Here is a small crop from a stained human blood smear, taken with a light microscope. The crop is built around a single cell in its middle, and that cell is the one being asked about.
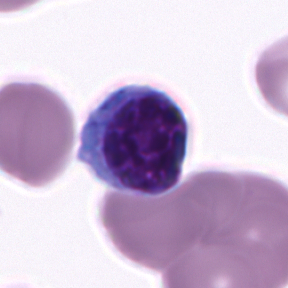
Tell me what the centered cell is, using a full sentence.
The identification for the central cell is a plasma cell.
